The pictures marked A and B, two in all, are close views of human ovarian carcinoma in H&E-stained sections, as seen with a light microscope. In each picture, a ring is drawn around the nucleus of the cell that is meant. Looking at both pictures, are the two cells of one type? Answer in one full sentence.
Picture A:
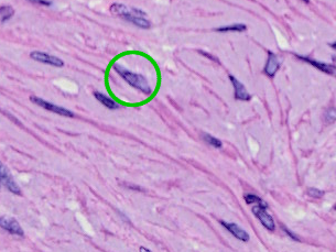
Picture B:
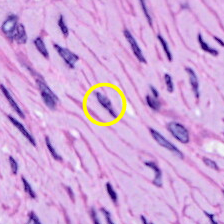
Yes, the two pictures both show fibroblasts.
